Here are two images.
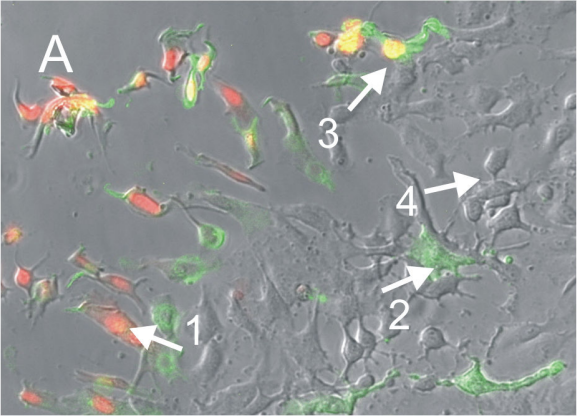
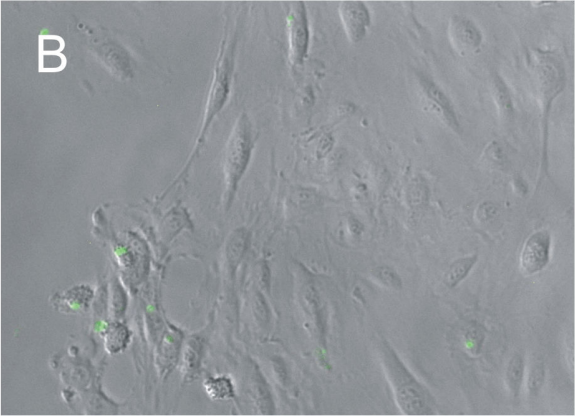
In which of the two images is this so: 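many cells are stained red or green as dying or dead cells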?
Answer: The first image.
